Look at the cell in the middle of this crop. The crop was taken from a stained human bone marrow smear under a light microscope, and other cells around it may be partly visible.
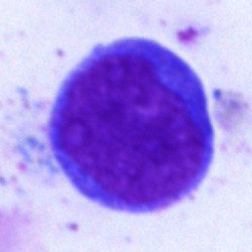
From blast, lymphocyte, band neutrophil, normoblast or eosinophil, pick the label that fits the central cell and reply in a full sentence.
The cell at the middle of the frame should be recorded as a blast.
